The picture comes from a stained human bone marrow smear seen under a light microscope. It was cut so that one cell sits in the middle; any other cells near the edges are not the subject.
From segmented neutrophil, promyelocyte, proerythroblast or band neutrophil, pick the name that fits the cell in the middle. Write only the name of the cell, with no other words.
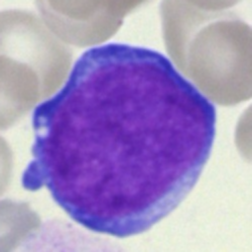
proerythroblast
